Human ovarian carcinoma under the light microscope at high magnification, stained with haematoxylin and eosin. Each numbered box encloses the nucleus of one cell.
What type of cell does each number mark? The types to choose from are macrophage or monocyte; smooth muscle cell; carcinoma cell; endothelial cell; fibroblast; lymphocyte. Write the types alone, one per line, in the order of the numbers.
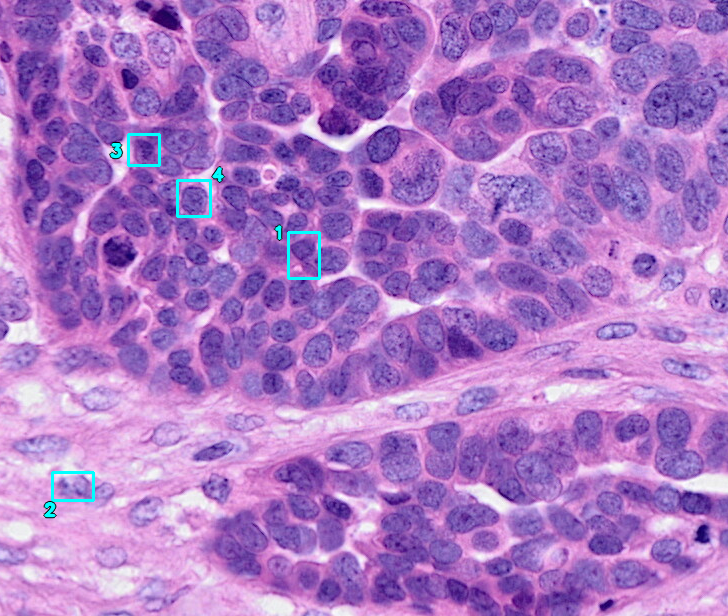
carcinoma cell
fibroblast
carcinoma cell
carcinoma cell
